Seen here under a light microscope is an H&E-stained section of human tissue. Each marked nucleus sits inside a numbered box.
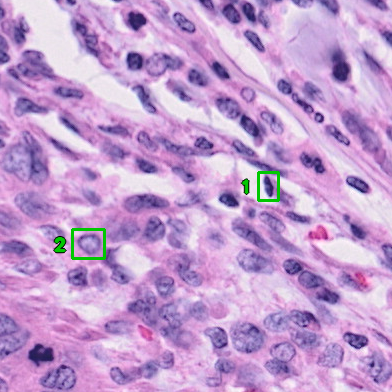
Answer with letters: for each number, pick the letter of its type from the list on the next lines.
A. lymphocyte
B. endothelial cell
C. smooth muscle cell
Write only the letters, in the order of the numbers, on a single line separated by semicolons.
A; B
